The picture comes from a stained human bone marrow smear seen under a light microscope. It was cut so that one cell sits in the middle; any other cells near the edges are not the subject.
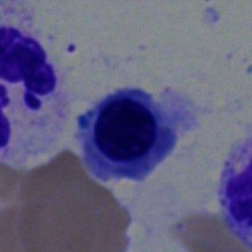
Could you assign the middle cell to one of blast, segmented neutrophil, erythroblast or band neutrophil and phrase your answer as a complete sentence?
Classification of the middle cell gives an erythroblast.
